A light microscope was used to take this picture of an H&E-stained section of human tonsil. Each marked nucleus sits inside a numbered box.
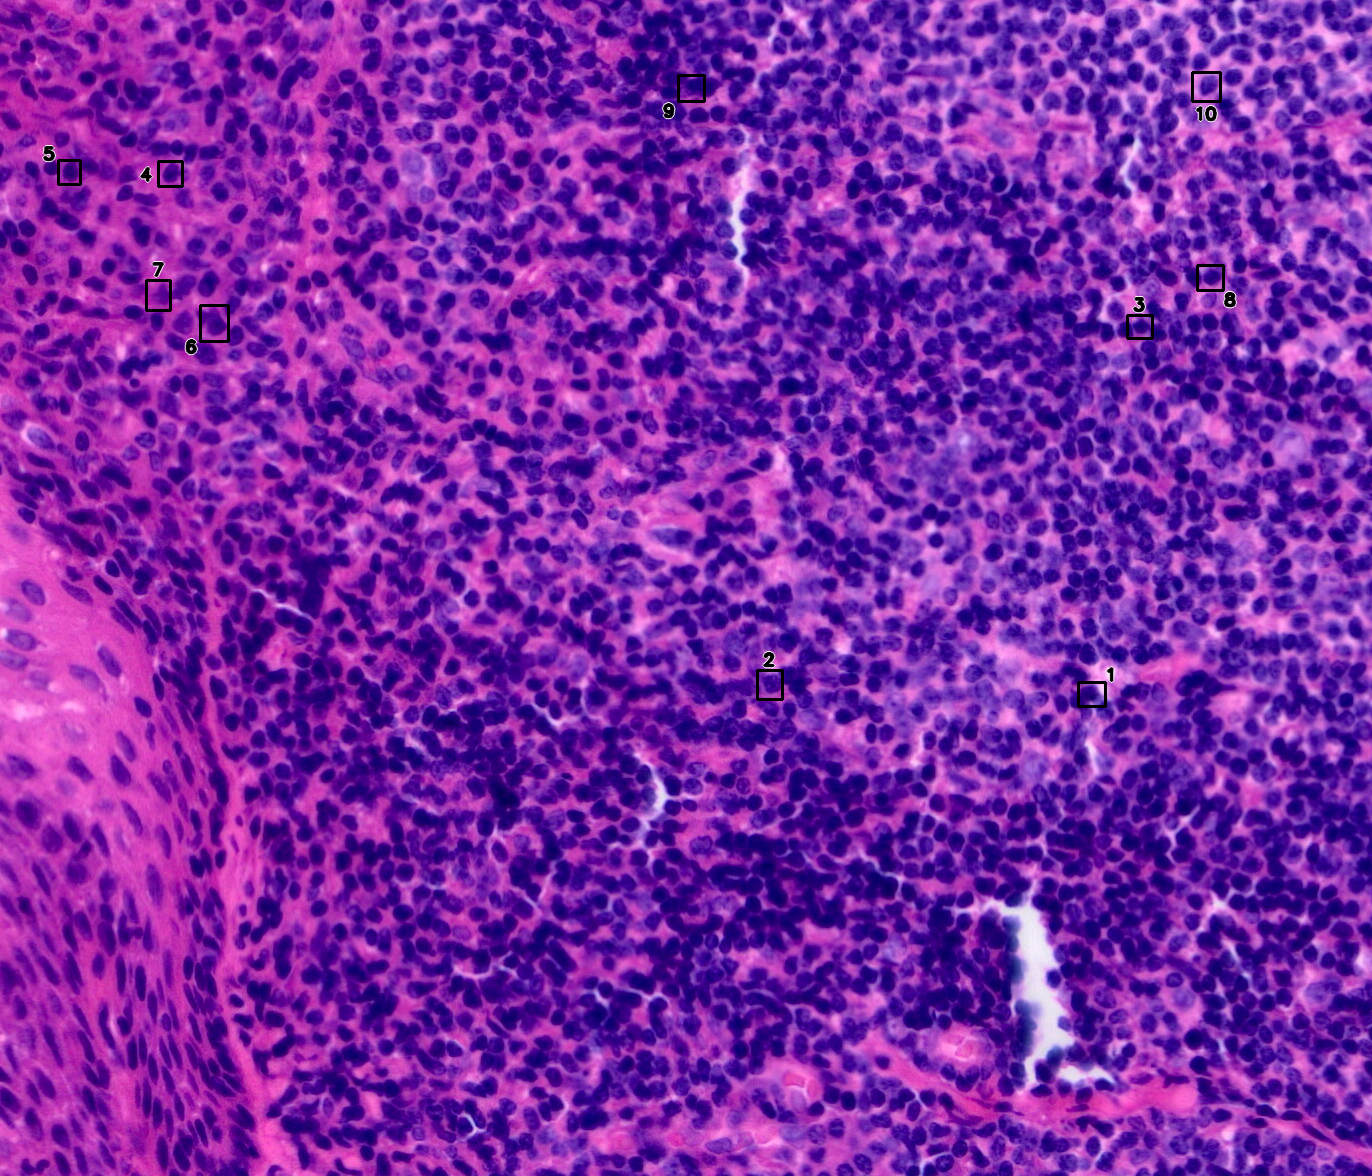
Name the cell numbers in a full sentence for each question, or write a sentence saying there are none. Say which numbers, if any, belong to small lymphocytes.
The cells bearing the numbers 1, 2, 3, 8, 9 and 10 are small lymphocytes.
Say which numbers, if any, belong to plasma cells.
Into the category of plasma cells fall the cells numbered 4 and 5.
